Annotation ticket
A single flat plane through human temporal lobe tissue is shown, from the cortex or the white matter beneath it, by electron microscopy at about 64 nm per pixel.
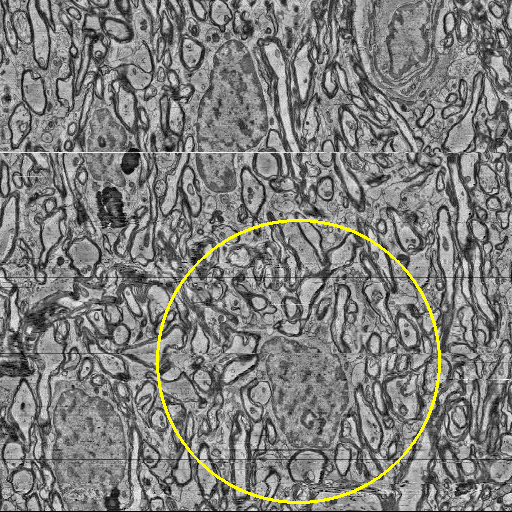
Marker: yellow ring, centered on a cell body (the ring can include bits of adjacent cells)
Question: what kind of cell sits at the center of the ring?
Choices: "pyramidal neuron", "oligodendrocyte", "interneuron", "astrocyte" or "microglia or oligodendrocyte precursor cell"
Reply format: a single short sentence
The ring is centered on an oligodendrocyte.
